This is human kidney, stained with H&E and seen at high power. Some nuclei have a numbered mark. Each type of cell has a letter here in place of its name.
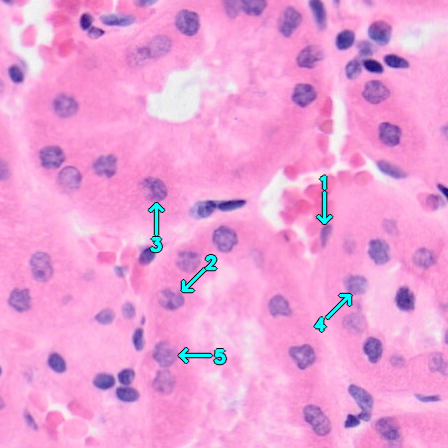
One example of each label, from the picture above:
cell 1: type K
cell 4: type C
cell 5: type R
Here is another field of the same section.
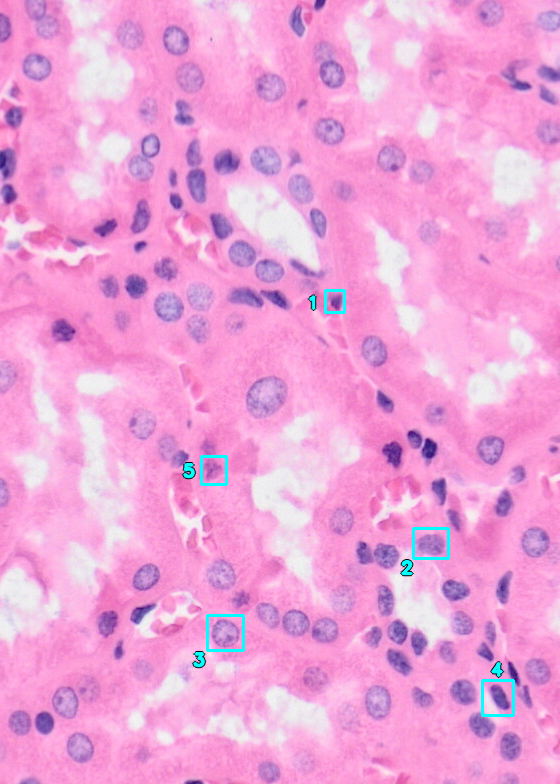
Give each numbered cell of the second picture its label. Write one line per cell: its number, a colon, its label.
1: type K
2: type C
3: type R
4: type C
5: type R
